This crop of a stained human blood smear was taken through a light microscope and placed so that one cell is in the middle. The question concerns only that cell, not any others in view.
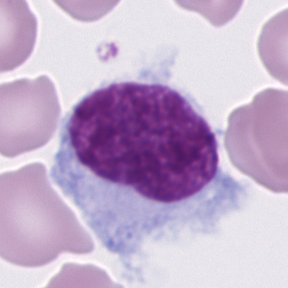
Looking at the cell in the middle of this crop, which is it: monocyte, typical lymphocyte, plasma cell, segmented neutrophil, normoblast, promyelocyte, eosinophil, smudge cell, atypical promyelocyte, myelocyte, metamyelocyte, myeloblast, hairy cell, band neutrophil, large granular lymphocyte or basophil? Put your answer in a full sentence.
The cell at the heart of this crop is a hairy cell.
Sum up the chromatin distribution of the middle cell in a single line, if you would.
The chromatin remains finely textured, with no coarse clumps to speak of.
